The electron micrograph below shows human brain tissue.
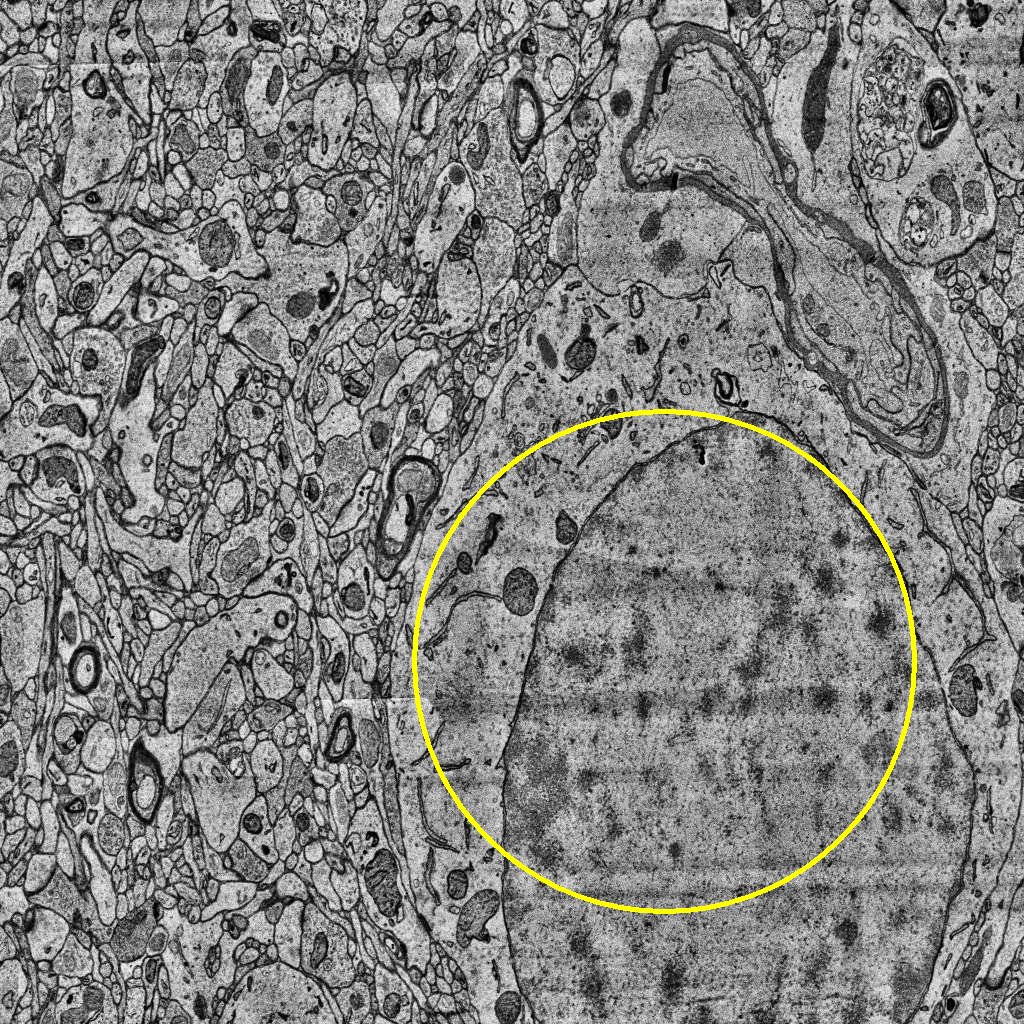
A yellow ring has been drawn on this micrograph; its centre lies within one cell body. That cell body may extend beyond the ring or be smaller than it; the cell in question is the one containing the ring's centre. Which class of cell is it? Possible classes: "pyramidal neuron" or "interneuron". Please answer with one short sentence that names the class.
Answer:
In the centre of the ring sits a pyramidal neuron.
